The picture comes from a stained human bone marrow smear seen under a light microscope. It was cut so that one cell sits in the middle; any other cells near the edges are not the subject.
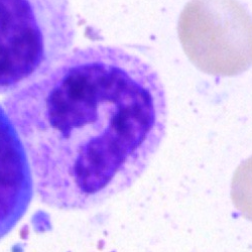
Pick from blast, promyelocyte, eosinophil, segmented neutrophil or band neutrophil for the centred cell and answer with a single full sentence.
The crop's centre is taken up by a band neutrophil.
